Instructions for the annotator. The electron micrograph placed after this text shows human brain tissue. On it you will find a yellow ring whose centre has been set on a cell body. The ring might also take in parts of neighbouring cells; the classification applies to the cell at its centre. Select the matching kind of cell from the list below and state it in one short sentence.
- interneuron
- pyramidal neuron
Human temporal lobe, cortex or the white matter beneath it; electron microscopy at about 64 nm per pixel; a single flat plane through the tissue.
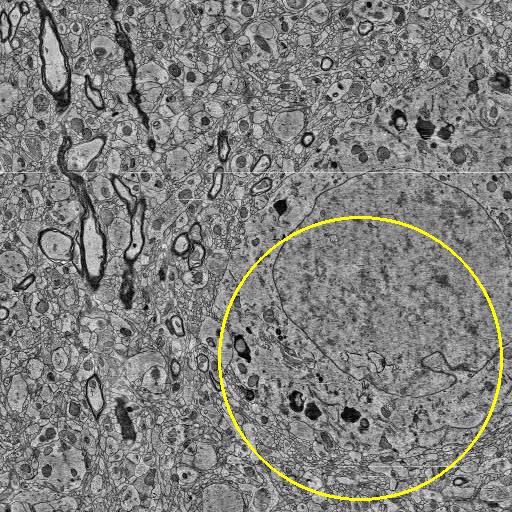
The ring is drawn on the cell body of a pyramidal neuron.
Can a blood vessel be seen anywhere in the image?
No, there is none.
